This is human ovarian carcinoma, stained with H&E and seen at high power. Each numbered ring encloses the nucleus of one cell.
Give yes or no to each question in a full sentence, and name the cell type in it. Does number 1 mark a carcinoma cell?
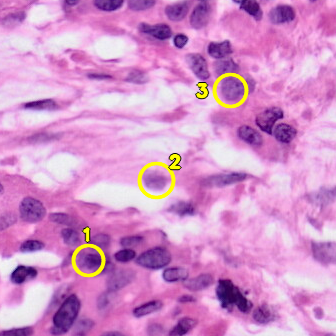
Yes, the cell corresponding to number 1 is a carcinoma cell.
